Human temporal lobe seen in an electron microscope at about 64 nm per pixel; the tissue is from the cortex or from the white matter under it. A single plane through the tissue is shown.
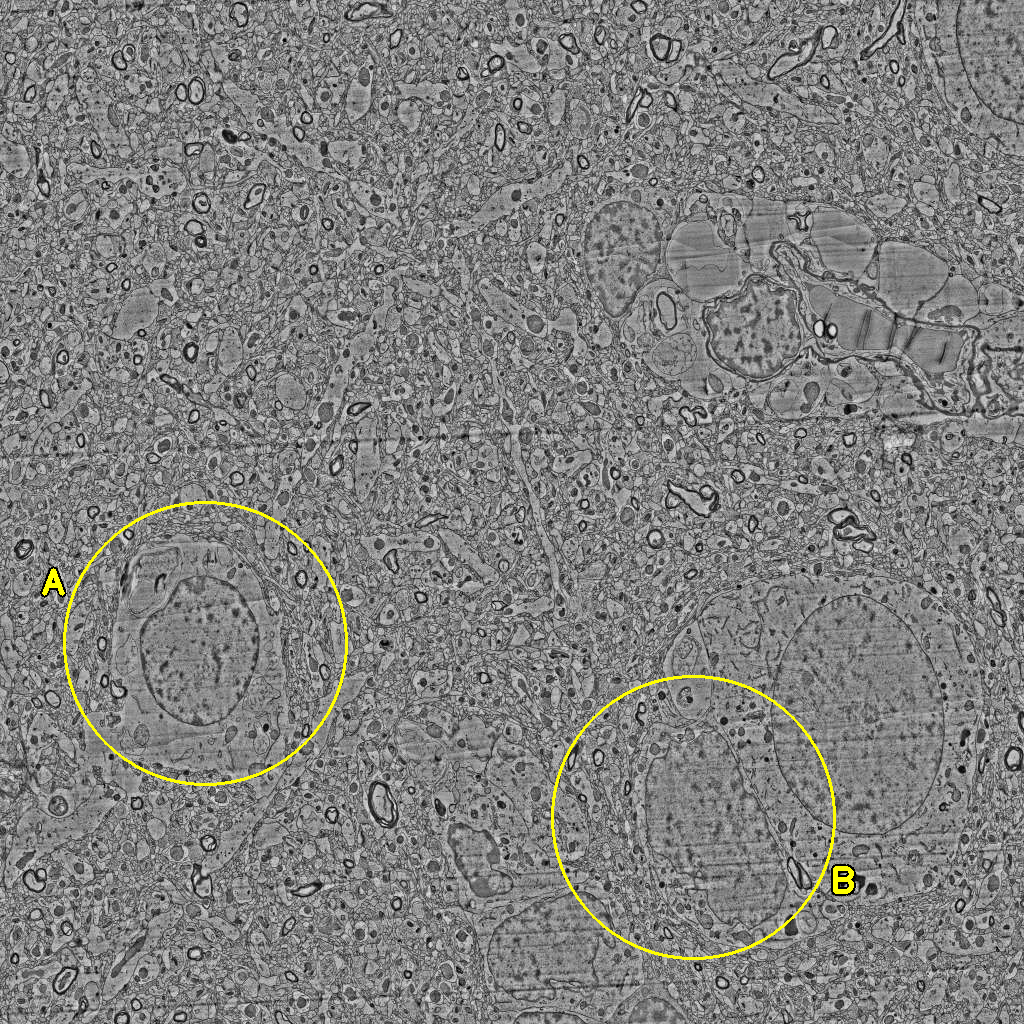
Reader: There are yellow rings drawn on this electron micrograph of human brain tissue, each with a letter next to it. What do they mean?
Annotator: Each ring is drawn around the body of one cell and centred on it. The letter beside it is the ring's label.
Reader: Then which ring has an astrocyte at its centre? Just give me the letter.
A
